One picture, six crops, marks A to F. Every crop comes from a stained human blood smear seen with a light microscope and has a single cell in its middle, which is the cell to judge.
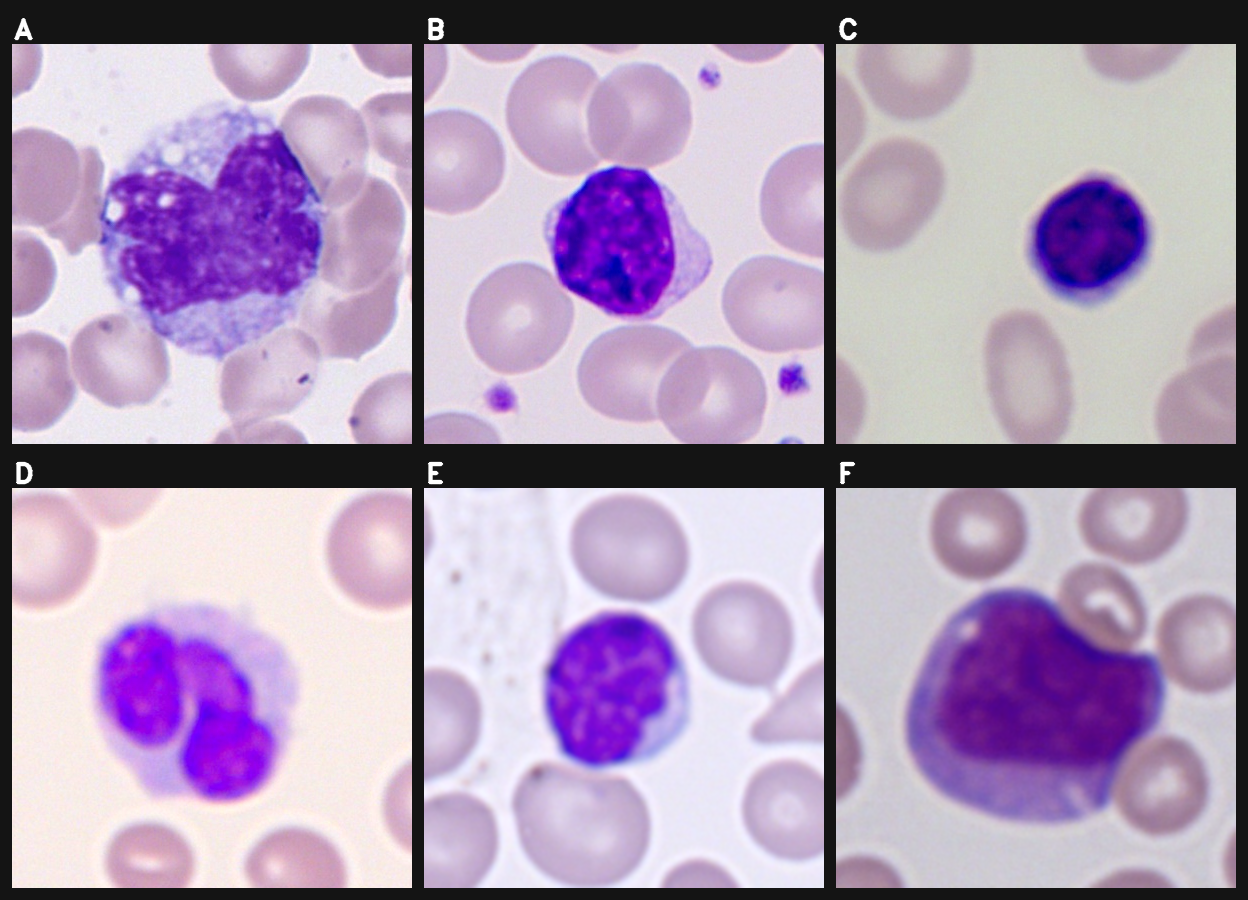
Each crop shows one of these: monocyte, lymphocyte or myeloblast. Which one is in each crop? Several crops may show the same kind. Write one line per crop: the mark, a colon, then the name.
A: monocyte
B: lymphocyte
C: lymphocyte
D: monocyte
E: lymphocyte
F: myeloblast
